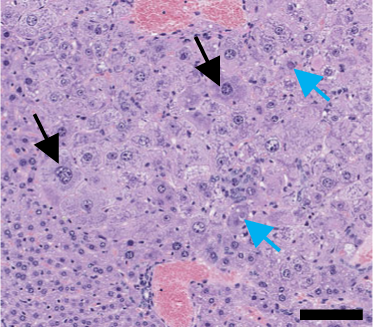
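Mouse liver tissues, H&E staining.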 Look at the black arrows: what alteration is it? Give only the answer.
karyomegaly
